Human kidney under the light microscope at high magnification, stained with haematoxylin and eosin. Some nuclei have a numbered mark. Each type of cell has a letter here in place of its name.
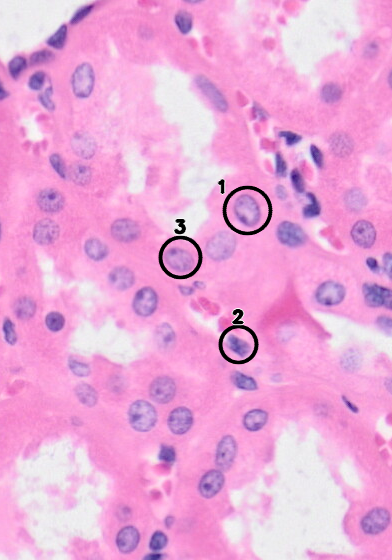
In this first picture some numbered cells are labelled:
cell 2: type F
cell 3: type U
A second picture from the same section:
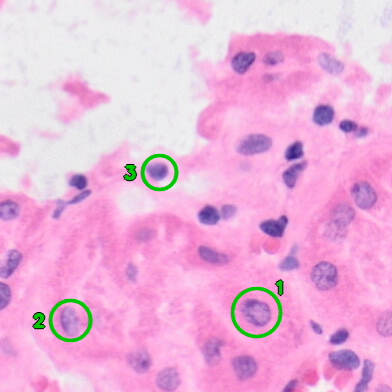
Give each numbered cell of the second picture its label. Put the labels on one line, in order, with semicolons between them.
type U; type U; type F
